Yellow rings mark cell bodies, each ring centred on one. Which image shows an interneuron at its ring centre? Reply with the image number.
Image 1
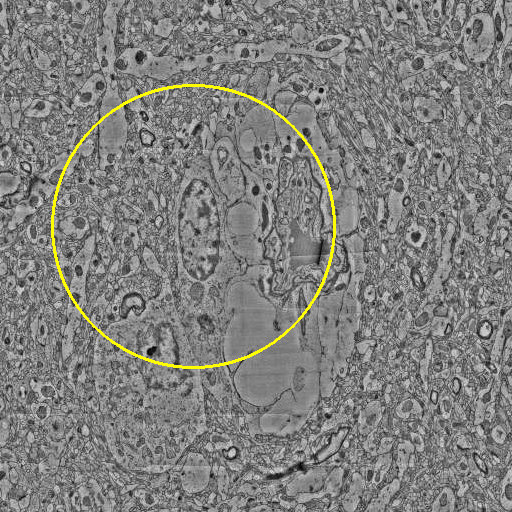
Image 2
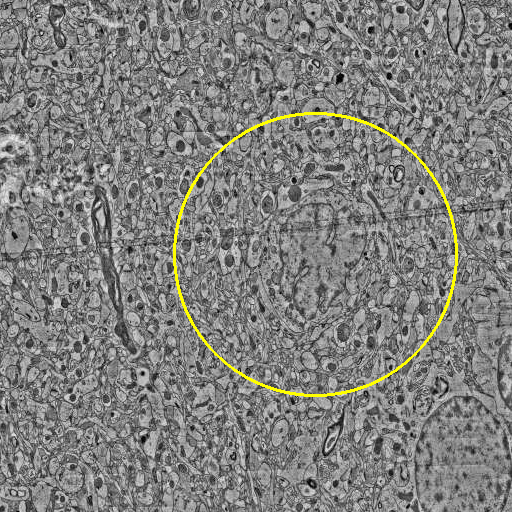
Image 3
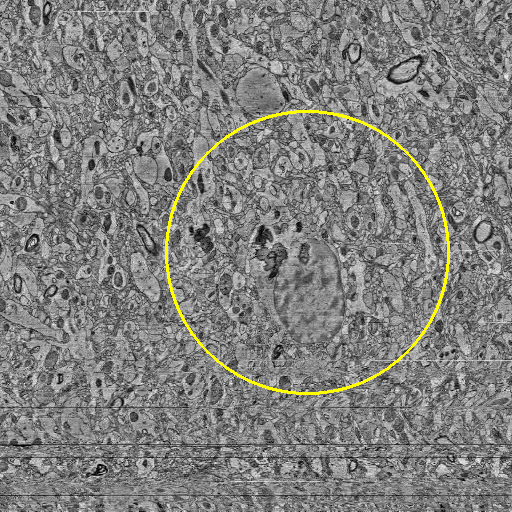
2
